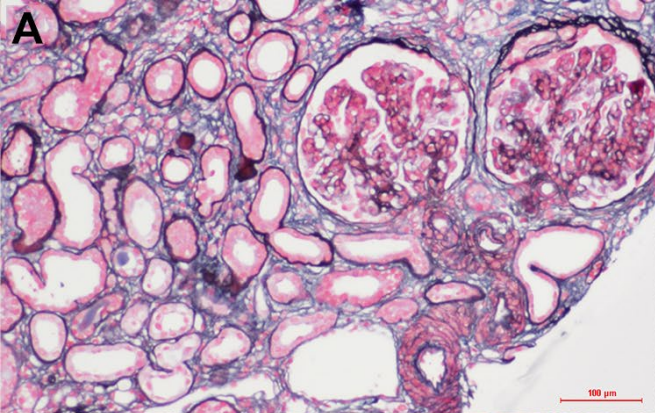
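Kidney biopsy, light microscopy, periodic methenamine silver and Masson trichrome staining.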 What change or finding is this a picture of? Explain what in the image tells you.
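Endocapillary proliferative glomerulonephritis. The glomerular tufts are crowded with cells and the capillary lumina are narrowed. The glomerular tufts are lobulated.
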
